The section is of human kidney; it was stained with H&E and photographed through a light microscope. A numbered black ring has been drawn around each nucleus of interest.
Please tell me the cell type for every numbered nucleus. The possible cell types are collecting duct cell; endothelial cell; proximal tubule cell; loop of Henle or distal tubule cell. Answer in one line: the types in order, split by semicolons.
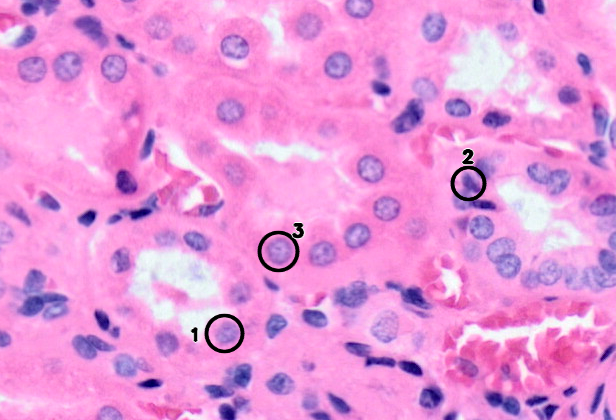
loop of Henle or distal tubule cell; collecting duct cell; proximal tubule cell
